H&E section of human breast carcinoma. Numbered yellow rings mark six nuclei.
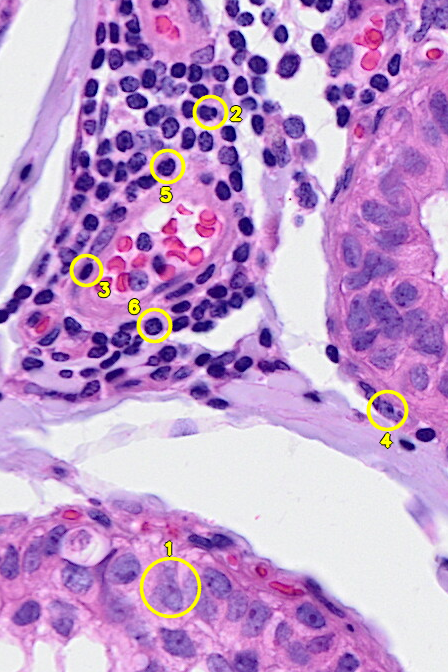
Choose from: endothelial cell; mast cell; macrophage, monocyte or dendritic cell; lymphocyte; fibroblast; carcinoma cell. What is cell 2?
lymphocyte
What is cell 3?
lymphocyte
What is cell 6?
lymphocyte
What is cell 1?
carcinoma cell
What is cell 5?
lymphocyte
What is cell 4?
endothelial cell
